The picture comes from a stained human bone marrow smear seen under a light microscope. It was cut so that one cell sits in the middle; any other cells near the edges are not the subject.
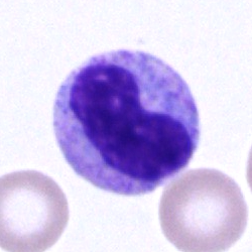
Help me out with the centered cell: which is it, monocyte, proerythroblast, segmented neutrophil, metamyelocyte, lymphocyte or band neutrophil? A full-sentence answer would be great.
In the middle of this smear crop is a metamyelocyte.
